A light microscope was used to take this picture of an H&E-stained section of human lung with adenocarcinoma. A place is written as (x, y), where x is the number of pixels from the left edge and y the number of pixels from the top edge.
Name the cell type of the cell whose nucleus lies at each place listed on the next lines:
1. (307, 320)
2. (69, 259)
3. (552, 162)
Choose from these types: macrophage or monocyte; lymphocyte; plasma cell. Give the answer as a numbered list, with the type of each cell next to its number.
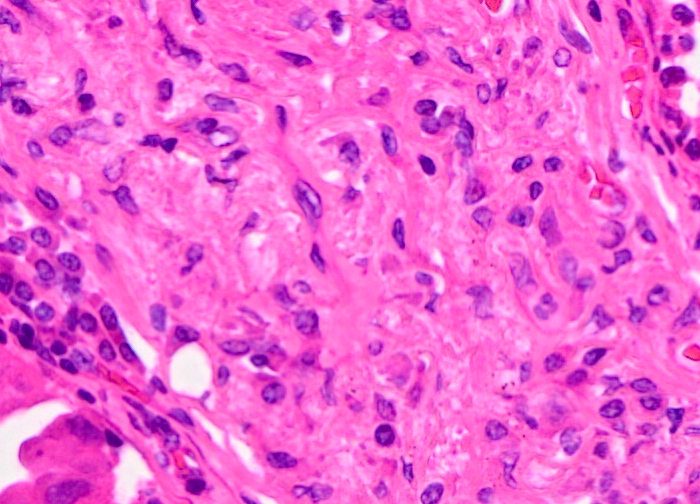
1. plasma cell
2. plasma cell
3. lymphocyte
